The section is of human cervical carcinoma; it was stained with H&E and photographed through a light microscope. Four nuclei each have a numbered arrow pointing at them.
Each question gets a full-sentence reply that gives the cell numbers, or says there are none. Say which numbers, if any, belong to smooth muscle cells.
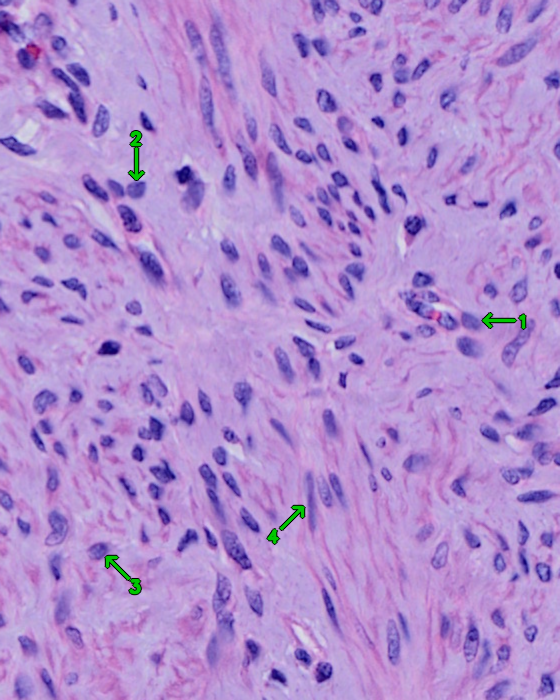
Cells 1, 3 and 4 in the section are typed as smooth muscle cells.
